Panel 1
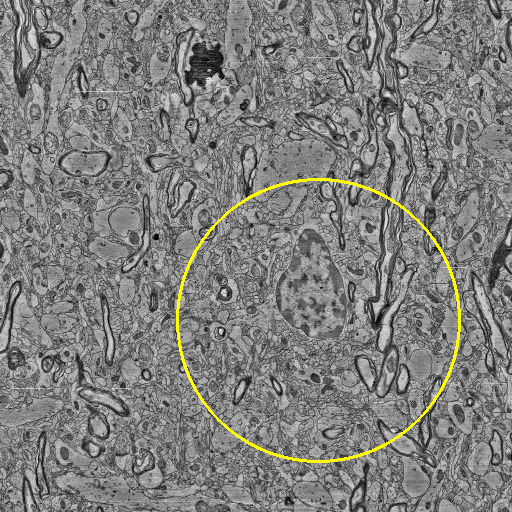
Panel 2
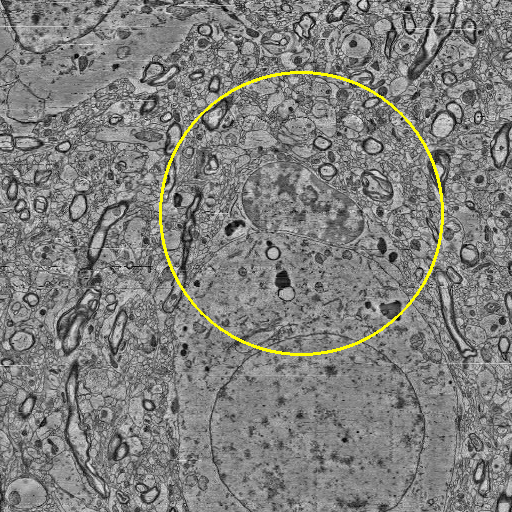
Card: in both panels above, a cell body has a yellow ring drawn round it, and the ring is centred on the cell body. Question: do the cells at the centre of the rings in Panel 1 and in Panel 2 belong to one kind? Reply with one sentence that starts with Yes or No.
Yes, the cells centred in the rings of Panel 1 and Panel 2 are one kind of cell.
